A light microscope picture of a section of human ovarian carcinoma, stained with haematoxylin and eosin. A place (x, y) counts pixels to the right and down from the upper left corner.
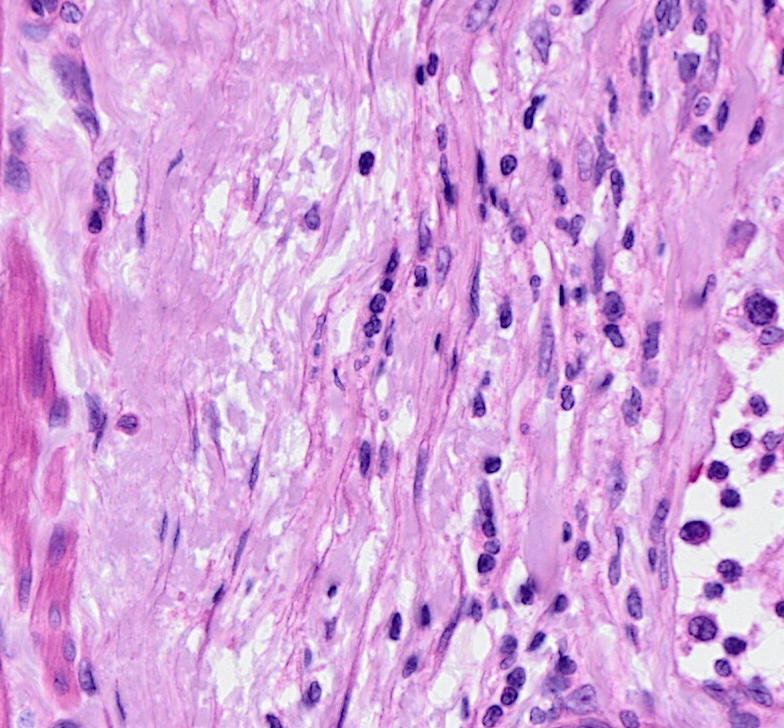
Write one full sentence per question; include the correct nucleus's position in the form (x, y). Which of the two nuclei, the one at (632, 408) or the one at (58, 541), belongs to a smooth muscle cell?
Of these two nuclei, only the one at (58, 541) belongs to a smooth muscle cell.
